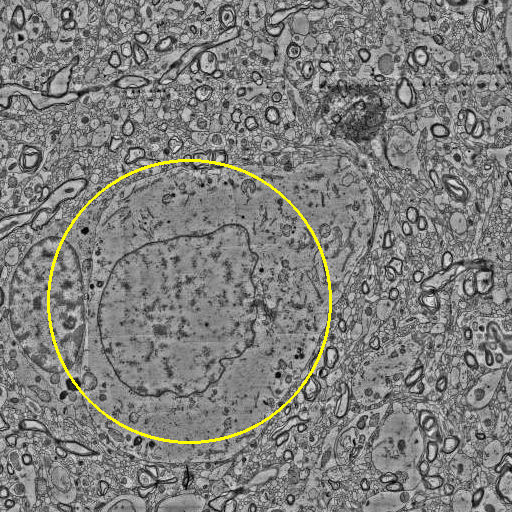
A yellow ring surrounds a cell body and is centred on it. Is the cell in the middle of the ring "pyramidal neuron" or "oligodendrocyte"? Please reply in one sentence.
The ring is centred on a pyramidal neuron.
